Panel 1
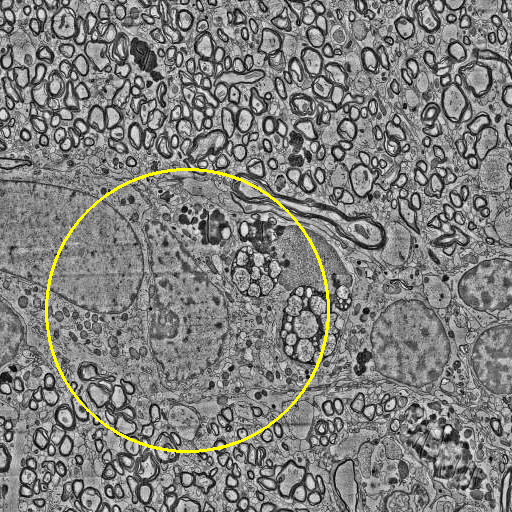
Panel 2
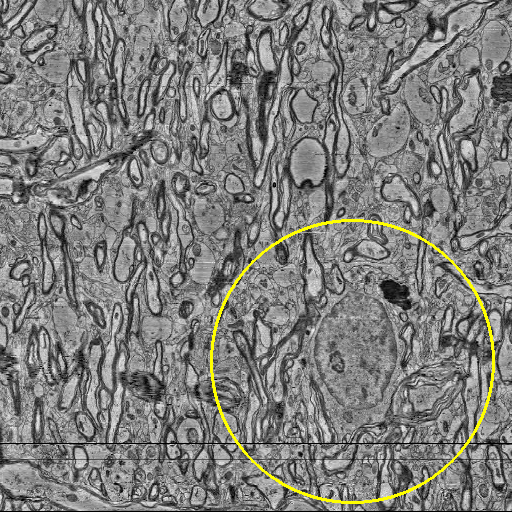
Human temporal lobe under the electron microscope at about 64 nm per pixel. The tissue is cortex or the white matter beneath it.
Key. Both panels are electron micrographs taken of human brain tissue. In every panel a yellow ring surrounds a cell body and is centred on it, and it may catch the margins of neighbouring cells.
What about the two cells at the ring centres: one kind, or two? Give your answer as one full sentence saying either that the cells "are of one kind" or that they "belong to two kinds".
Across Panels 1 and 2, the two cells at the ring centres belong to two kinds.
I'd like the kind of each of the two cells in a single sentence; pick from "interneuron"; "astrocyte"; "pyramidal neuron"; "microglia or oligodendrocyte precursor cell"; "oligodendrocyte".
The first ring marks an astrocyte, and the second ring marks an oligodendrocyte.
